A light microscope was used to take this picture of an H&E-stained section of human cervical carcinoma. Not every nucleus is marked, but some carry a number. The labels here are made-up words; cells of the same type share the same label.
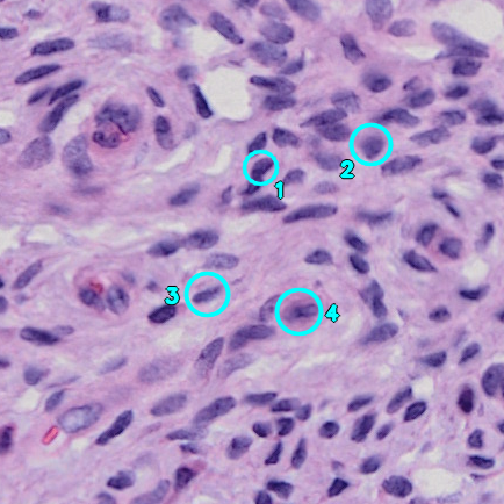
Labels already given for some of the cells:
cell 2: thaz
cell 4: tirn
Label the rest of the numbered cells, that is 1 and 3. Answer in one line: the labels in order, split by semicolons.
thaz; thaz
